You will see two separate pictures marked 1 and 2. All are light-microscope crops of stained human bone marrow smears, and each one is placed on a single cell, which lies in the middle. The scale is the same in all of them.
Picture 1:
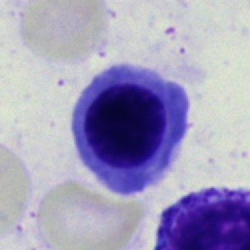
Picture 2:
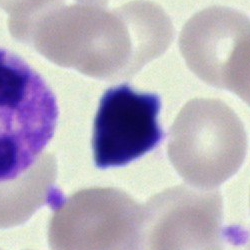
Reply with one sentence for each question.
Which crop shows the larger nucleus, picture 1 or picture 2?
Picture 1 shows the larger nucleus; it covers about 1.5 times the area of the nucleus in picture 2.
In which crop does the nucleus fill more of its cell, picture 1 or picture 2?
In picture 2 the nucleus takes up the larger part of its cell.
